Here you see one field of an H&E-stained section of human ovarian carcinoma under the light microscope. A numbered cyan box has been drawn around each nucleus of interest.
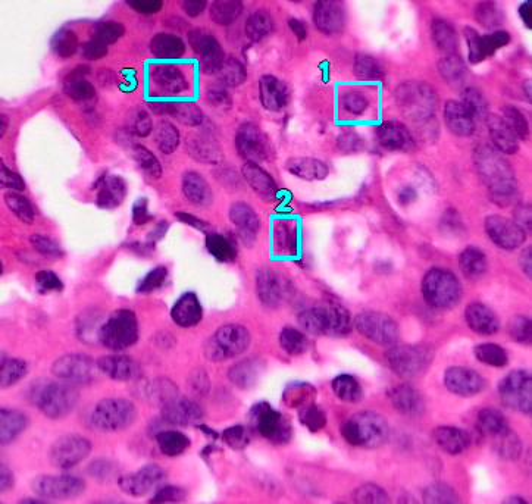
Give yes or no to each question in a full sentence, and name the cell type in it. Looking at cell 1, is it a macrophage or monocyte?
Yes, the cell sitting at number 1 is a macrophage or monocyte.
